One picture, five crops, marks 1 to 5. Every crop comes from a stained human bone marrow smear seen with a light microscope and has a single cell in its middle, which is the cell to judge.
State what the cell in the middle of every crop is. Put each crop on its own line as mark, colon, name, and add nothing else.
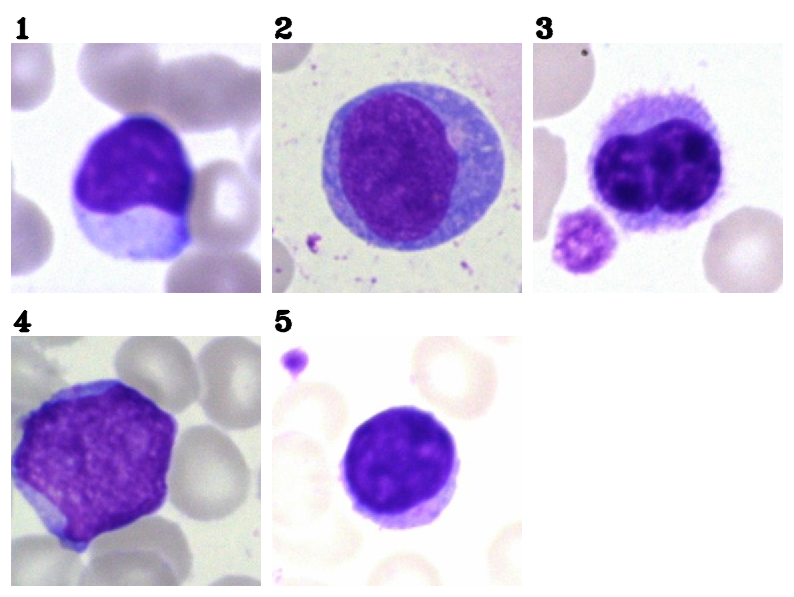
1: lymphocyte
2: blast
3: hairy cell
4: blast
5: lymphocyte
